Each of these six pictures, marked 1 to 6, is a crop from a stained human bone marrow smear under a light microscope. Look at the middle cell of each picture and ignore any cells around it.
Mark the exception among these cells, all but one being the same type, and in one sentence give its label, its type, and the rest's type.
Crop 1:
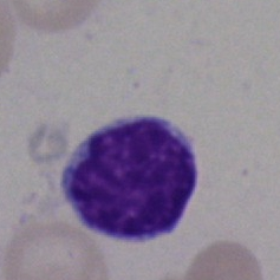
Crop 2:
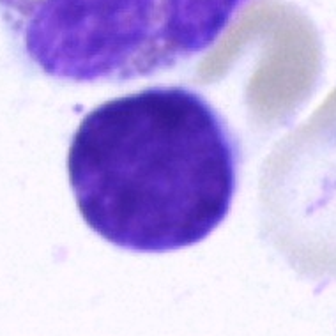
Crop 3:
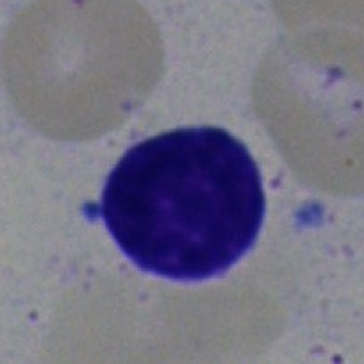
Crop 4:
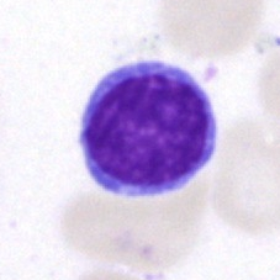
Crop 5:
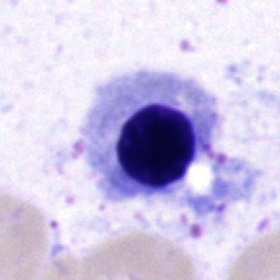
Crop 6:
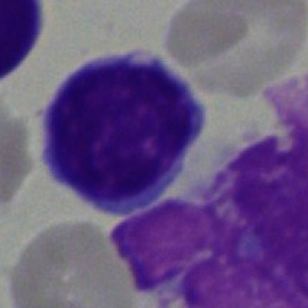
Whereas the other crops all show lymphocytes, crop 5 shows an erythroblast.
